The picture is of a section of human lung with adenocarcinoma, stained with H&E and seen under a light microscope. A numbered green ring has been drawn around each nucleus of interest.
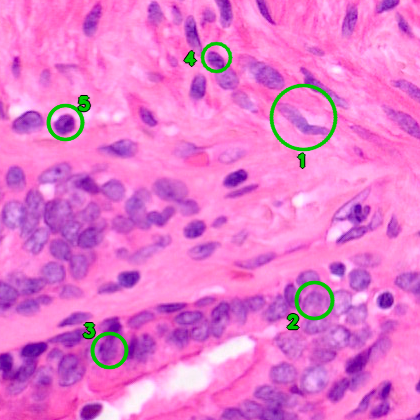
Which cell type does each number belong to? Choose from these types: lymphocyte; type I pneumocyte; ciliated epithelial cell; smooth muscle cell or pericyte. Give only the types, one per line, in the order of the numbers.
smooth muscle cell or pericyte
ciliated epithelial cell
ciliated epithelial cell
smooth muscle cell or pericyte
lymphocyte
